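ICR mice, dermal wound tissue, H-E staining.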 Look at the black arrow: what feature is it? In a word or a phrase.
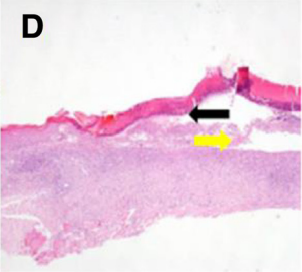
Epidermal leading edge.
